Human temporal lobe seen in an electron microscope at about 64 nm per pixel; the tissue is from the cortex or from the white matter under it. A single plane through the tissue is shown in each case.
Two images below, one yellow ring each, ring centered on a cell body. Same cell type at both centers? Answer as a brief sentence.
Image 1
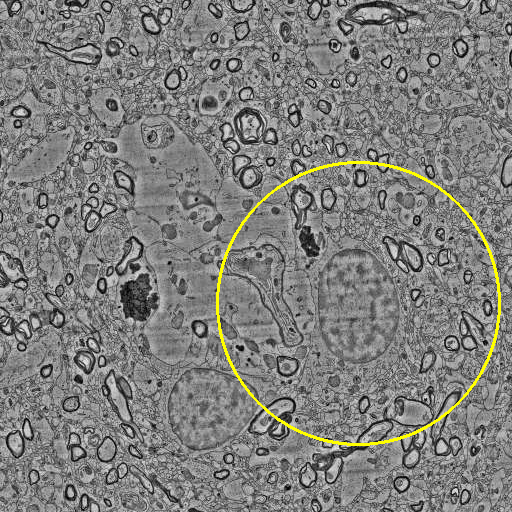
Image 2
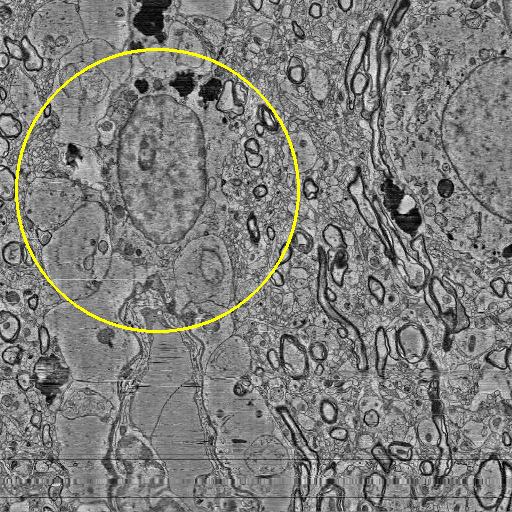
Yes, both cells are of the same type.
